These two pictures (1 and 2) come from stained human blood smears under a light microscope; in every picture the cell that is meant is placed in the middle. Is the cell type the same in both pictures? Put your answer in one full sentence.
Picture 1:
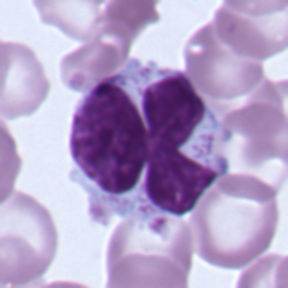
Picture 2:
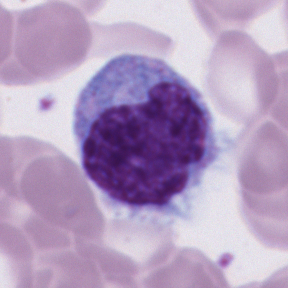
No. Picture 1 shows a large granular lymphocyte, but picture 2 shows a monocyte.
